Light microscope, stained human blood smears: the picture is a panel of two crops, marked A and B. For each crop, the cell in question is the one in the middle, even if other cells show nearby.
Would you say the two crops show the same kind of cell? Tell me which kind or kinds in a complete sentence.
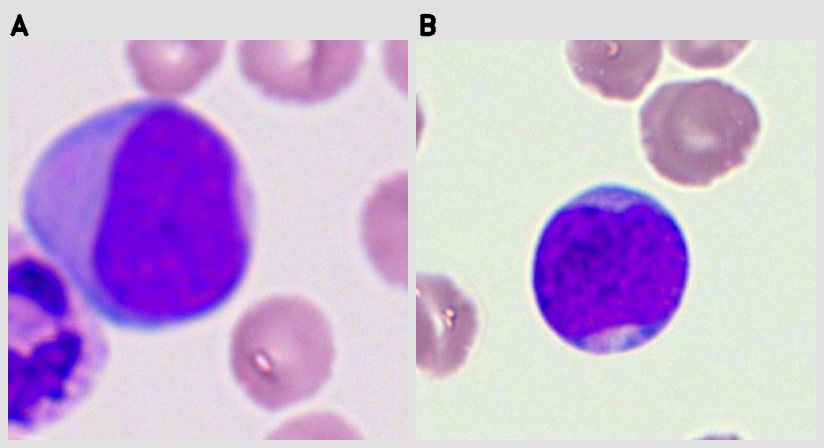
Yes, both crops depict blasts at the centre.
